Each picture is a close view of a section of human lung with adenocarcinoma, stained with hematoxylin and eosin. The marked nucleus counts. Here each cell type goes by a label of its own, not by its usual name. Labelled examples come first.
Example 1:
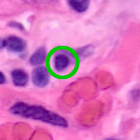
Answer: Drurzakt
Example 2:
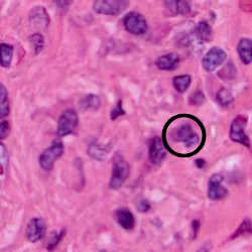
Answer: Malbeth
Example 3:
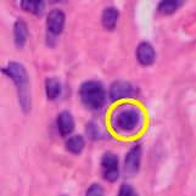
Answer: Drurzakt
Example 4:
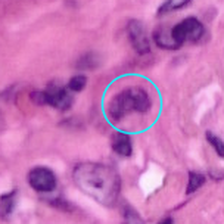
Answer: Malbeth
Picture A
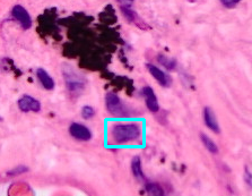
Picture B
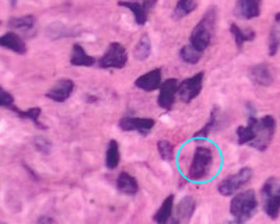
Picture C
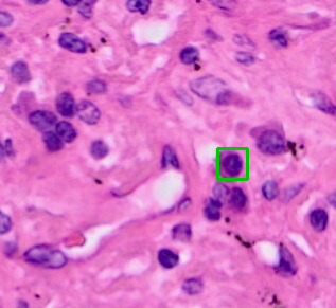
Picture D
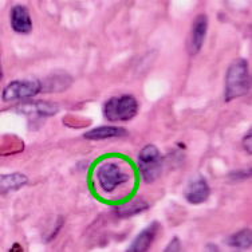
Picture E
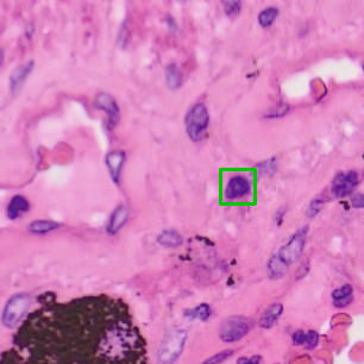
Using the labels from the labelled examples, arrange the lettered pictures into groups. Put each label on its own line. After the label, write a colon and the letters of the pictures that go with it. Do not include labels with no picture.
Drurzakt: D
Malbeth: A, B, C, E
